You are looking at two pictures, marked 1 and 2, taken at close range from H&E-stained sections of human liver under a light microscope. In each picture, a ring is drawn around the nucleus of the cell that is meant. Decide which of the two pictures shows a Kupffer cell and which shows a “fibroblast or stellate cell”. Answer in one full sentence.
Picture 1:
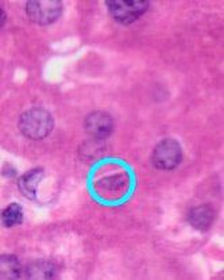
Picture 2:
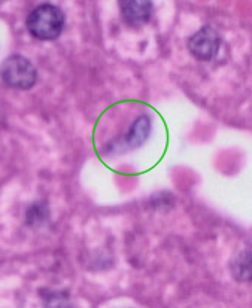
The cell in picture 1 is a “fibroblast or stellate cell”, and the one in picture 2 is a Kupffer cell.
